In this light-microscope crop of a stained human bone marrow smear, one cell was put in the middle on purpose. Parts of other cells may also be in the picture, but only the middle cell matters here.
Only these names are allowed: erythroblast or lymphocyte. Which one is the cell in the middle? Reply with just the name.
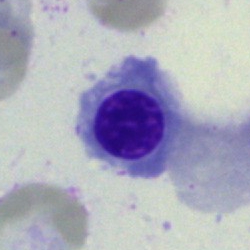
erythroblast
